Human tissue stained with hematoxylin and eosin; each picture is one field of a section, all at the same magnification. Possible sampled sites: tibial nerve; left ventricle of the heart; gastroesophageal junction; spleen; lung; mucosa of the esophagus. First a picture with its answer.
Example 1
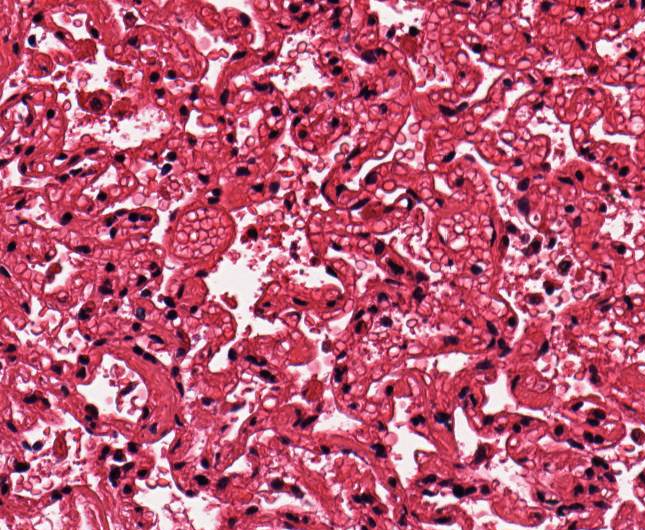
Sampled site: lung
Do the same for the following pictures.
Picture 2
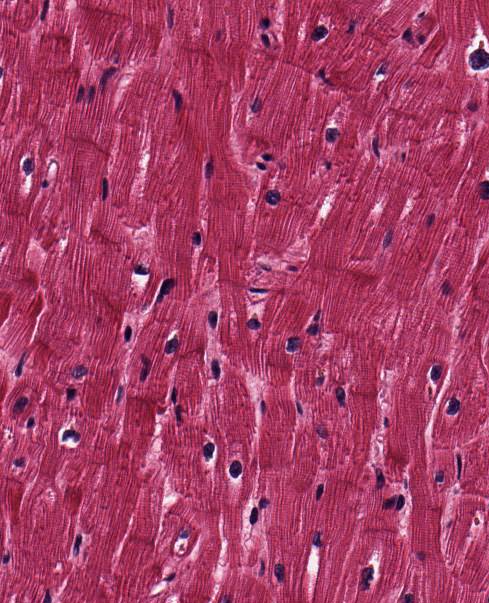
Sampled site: left ventricle of the heart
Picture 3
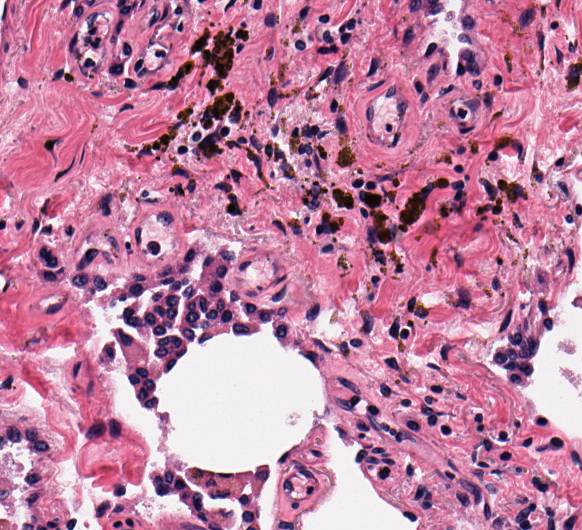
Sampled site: lung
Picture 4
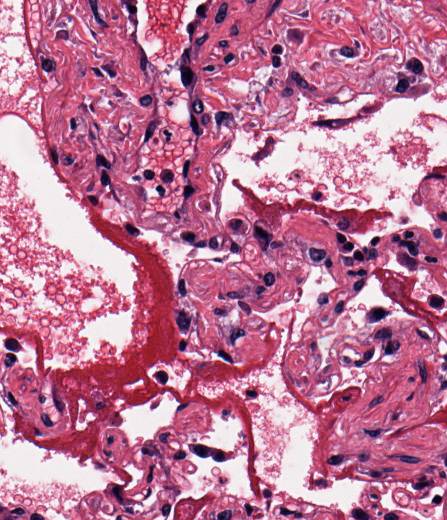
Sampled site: lung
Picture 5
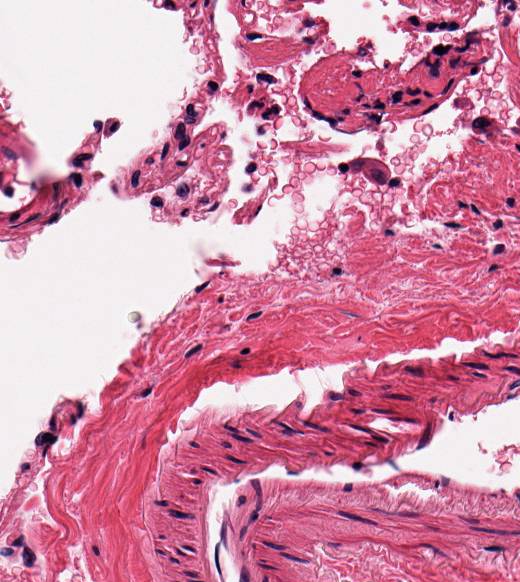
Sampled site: lung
